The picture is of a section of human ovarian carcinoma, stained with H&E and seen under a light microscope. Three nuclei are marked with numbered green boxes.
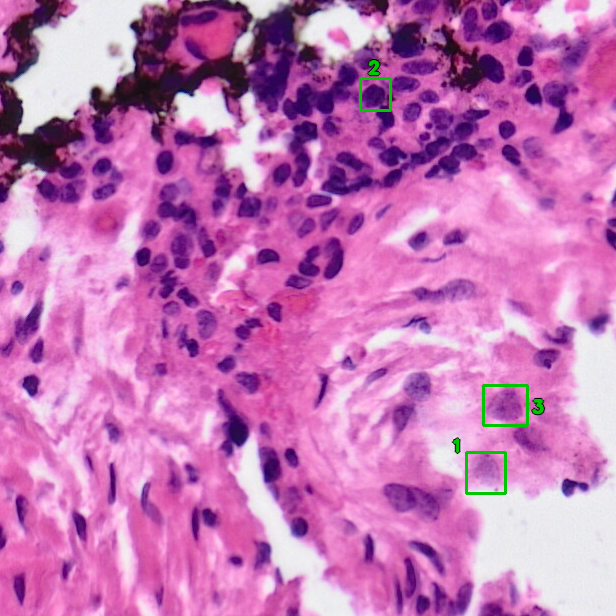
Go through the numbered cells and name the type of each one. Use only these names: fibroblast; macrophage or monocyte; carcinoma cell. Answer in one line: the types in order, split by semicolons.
fibroblast; carcinoma cell; fibroblast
